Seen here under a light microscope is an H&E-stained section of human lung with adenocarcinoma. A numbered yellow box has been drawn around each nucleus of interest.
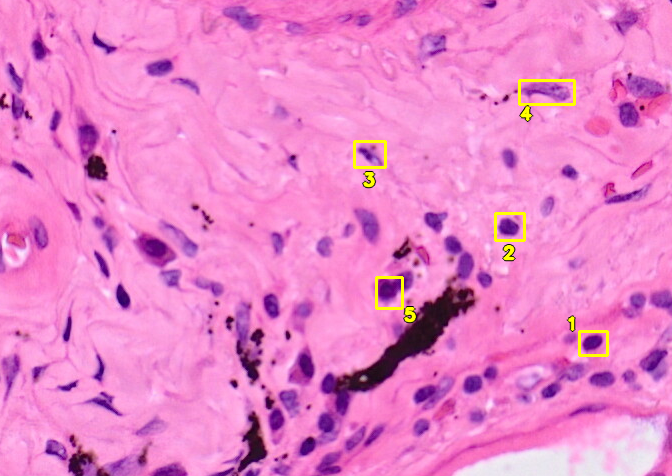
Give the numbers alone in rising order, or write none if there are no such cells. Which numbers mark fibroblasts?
3, 4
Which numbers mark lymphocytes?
1, 2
